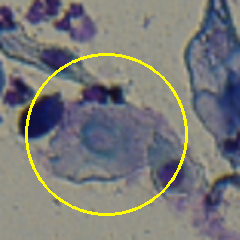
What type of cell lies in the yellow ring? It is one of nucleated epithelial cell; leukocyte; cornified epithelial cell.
The ringed cell is a nucleated epithelial cell.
